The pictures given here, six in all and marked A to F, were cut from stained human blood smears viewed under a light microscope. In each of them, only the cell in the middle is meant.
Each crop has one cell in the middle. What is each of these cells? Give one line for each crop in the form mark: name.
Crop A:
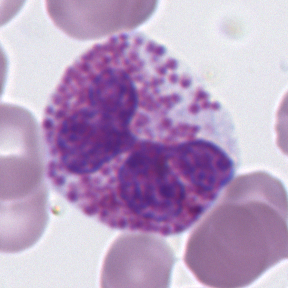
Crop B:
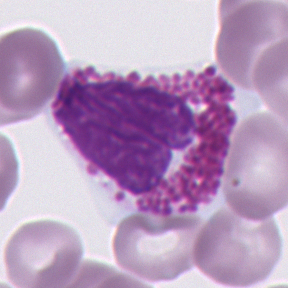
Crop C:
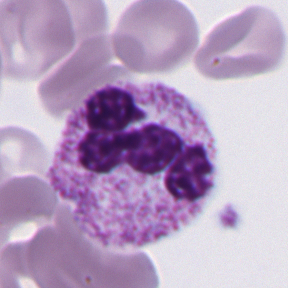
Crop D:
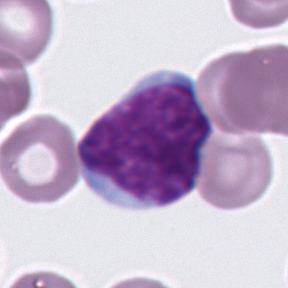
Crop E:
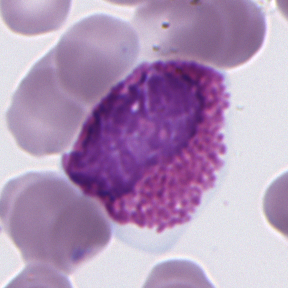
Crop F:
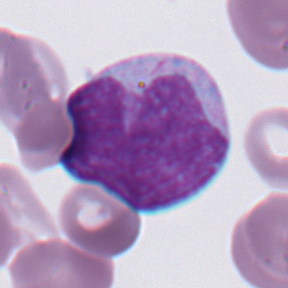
A: eosinophil
B: eosinophil
C: segmented neutrophil
D: typical lymphocyte
E: eosinophil
F: atypical promyelocyte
